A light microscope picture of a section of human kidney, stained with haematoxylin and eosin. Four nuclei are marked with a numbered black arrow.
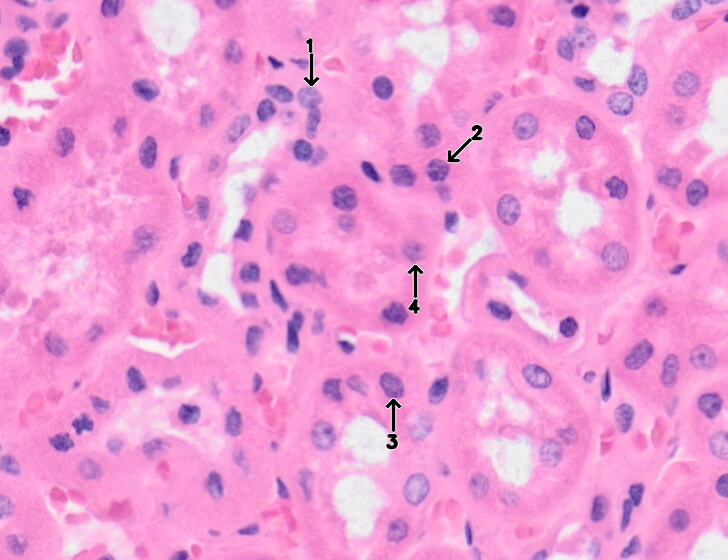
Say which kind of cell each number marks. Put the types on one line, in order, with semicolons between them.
collecting duct cell; proximal tubule cell; proximal tubule cell; proximal tubule cell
